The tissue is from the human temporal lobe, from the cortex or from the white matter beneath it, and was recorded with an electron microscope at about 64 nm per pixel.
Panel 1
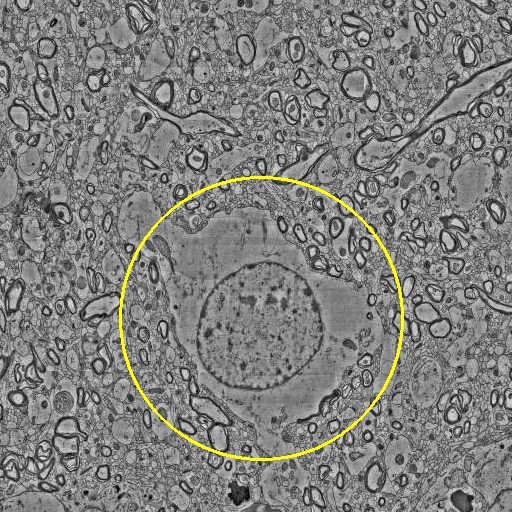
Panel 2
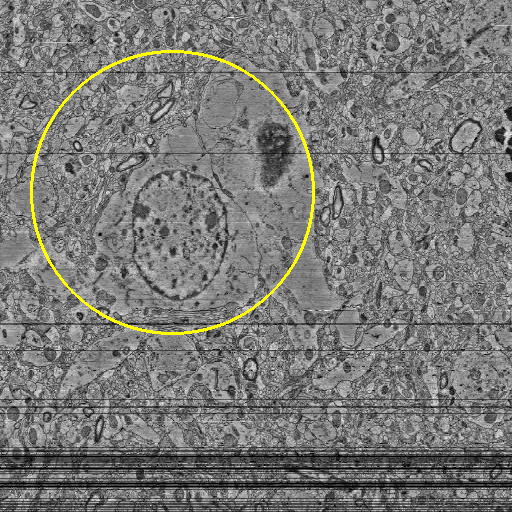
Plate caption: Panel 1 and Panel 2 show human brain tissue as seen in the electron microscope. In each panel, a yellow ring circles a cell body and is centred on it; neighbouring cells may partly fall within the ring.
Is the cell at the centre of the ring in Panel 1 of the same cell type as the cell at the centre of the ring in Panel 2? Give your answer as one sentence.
Yes, the two cells are of the same type.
